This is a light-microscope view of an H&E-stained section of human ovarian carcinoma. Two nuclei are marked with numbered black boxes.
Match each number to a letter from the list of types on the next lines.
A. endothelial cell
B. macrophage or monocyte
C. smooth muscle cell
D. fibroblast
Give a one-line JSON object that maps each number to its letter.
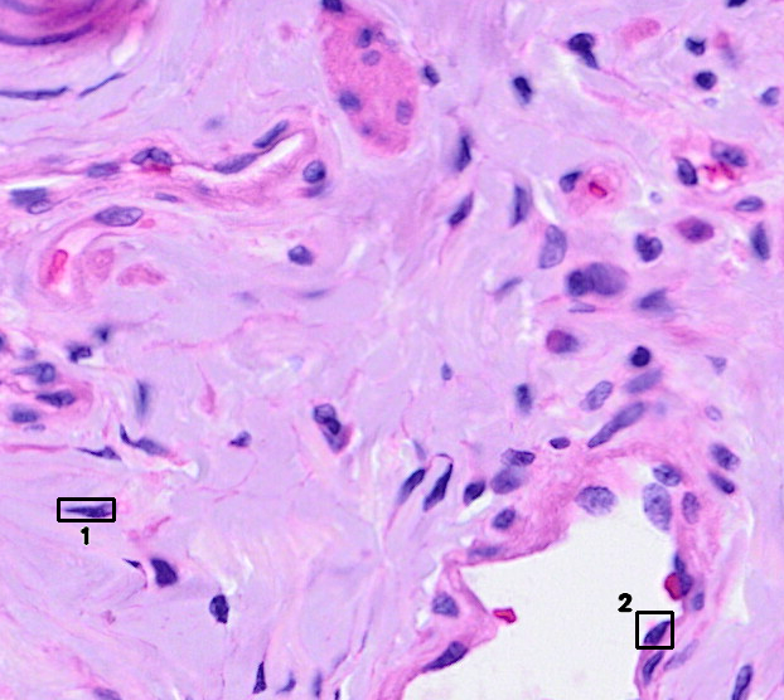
{"1": "D", "2": "A"}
